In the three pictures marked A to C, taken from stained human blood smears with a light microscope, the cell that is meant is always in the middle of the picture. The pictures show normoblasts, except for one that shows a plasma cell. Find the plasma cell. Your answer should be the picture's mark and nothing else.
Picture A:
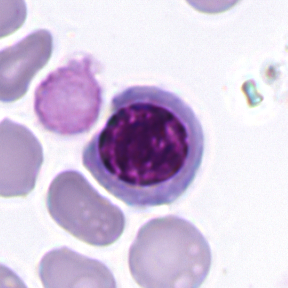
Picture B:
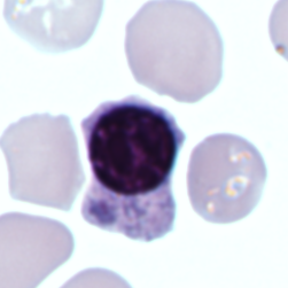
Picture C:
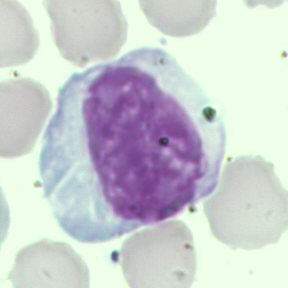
C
